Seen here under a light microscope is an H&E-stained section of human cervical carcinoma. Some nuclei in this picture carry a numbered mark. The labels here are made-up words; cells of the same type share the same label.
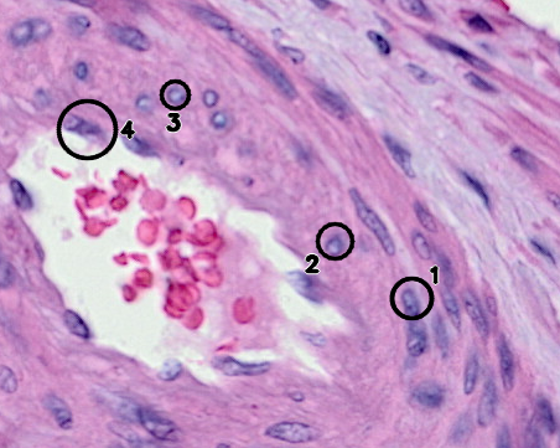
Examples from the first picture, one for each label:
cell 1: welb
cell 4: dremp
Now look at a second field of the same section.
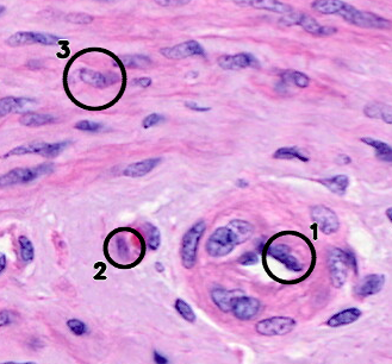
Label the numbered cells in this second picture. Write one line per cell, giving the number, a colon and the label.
1: dremp
2: dremp
3: welb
